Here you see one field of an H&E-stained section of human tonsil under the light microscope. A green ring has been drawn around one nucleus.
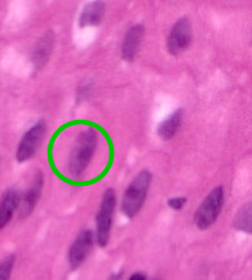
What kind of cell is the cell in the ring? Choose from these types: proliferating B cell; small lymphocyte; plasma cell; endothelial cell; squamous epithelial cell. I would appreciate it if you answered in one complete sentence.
Typologically, the cell in the ring is a squamous epithelial cell in this section.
